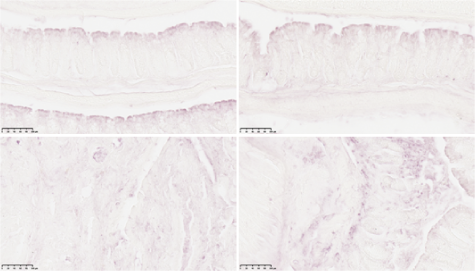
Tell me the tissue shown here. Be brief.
Colon.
